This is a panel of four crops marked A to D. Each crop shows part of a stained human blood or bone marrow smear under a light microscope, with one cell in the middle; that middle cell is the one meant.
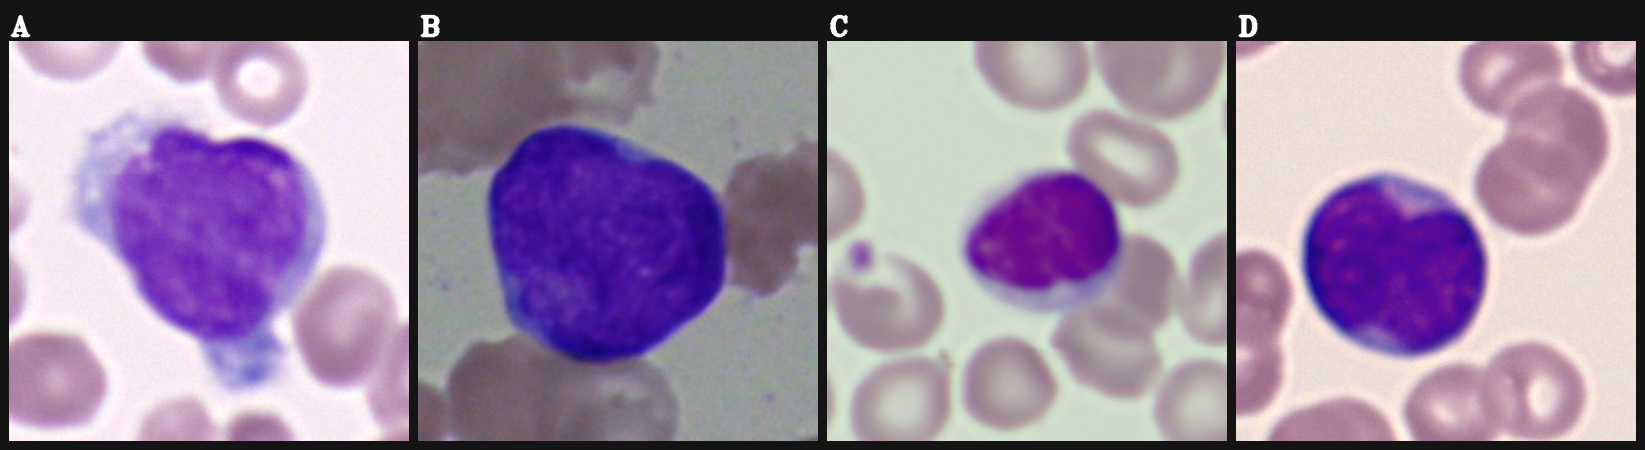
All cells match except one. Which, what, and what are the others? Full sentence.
The pattern of blasts across the crops is broken only by crop C, which shows a lymphocyte.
